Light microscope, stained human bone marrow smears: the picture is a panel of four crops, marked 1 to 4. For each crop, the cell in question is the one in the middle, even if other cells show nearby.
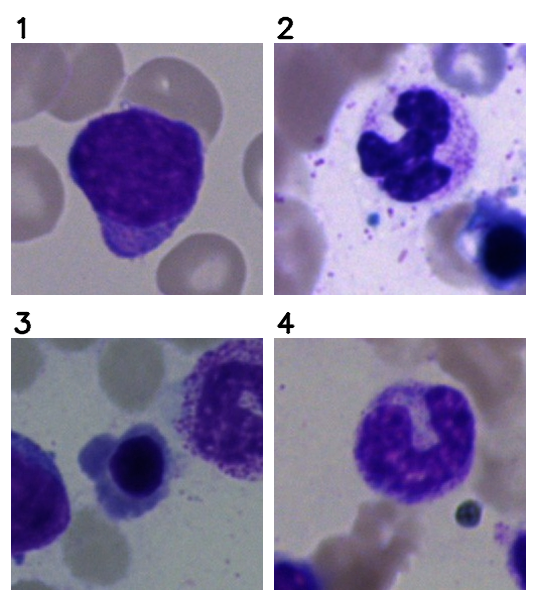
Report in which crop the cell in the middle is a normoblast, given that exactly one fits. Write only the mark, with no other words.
3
